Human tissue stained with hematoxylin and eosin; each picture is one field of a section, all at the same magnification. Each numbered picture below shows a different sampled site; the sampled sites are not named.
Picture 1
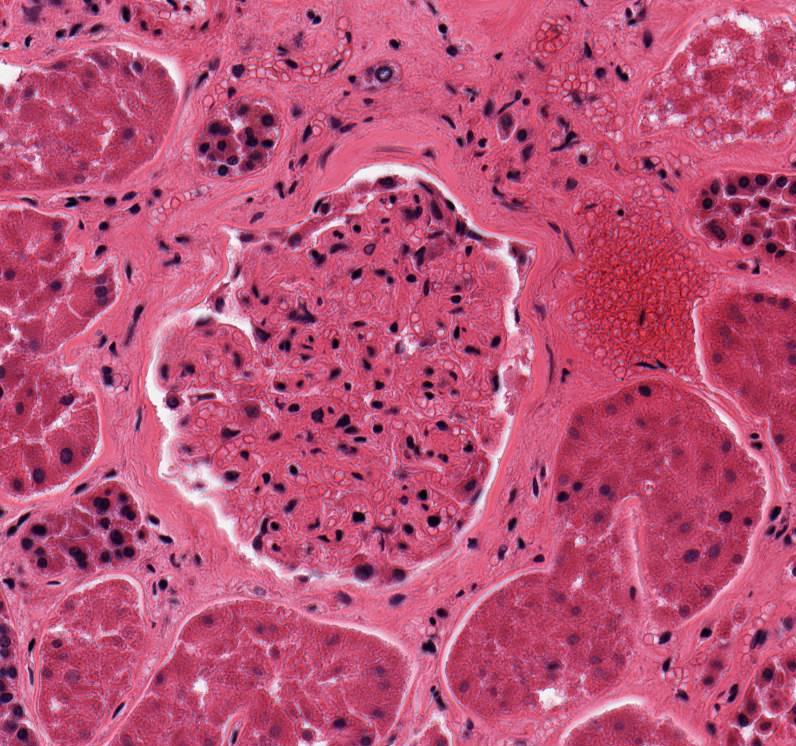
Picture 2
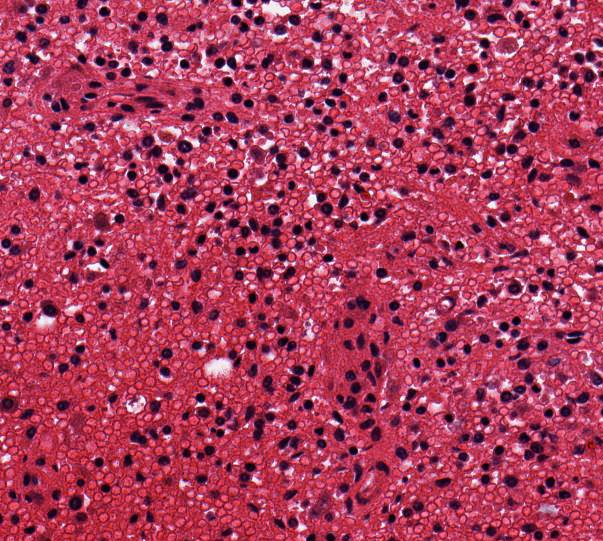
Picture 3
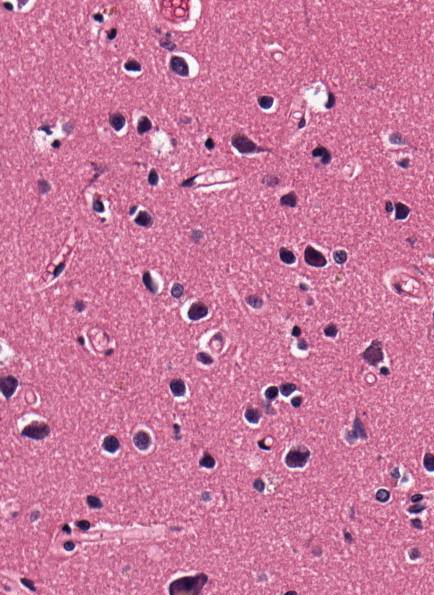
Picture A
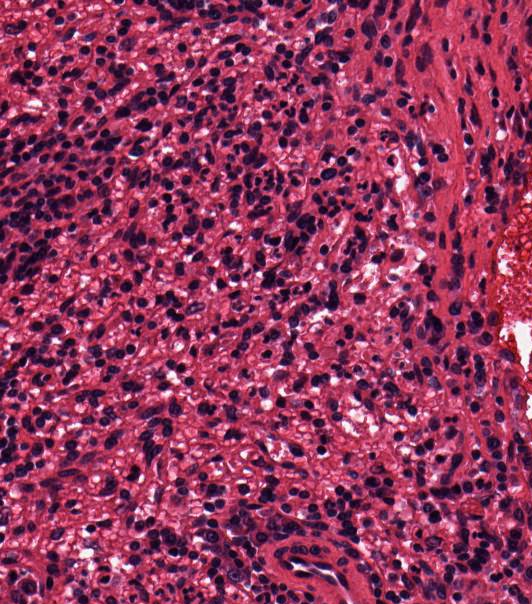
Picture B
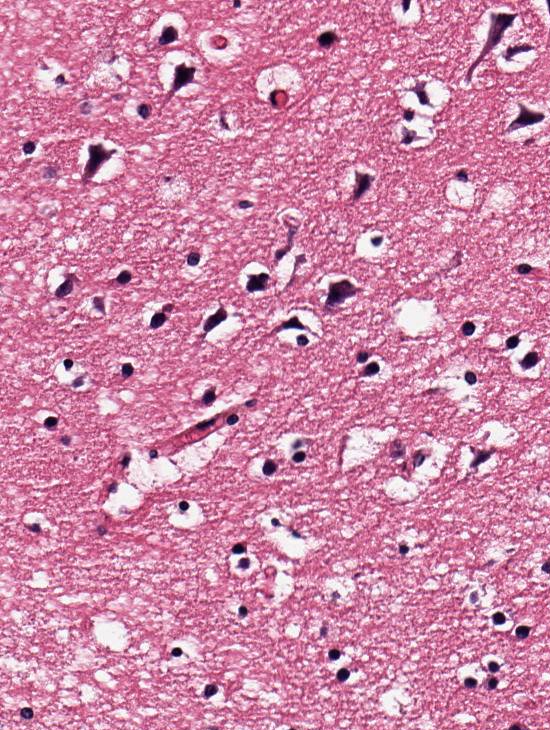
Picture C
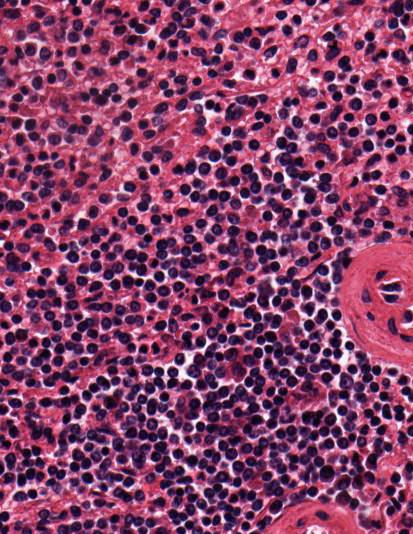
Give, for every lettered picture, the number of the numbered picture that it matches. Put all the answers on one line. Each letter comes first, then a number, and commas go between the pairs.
A 2, B 3, C 2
